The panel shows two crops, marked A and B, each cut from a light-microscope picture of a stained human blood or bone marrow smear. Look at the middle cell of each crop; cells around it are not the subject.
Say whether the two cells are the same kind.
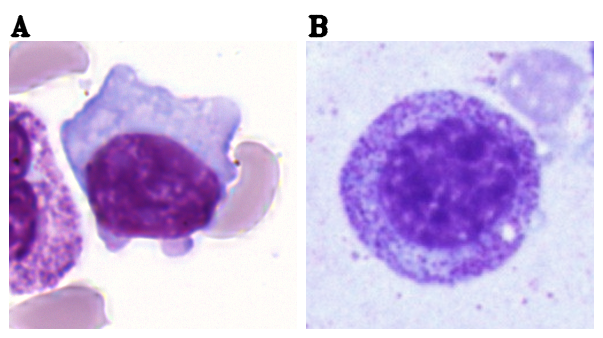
no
